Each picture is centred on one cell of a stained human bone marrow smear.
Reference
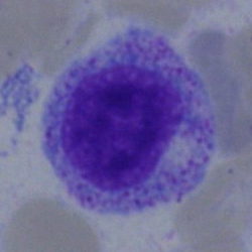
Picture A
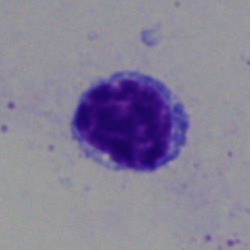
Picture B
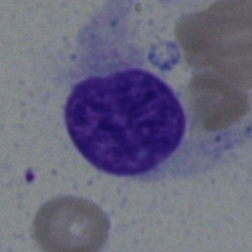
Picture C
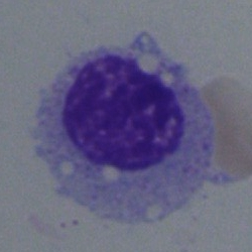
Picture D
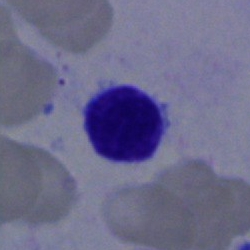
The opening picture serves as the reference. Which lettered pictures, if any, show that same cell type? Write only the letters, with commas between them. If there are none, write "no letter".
C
